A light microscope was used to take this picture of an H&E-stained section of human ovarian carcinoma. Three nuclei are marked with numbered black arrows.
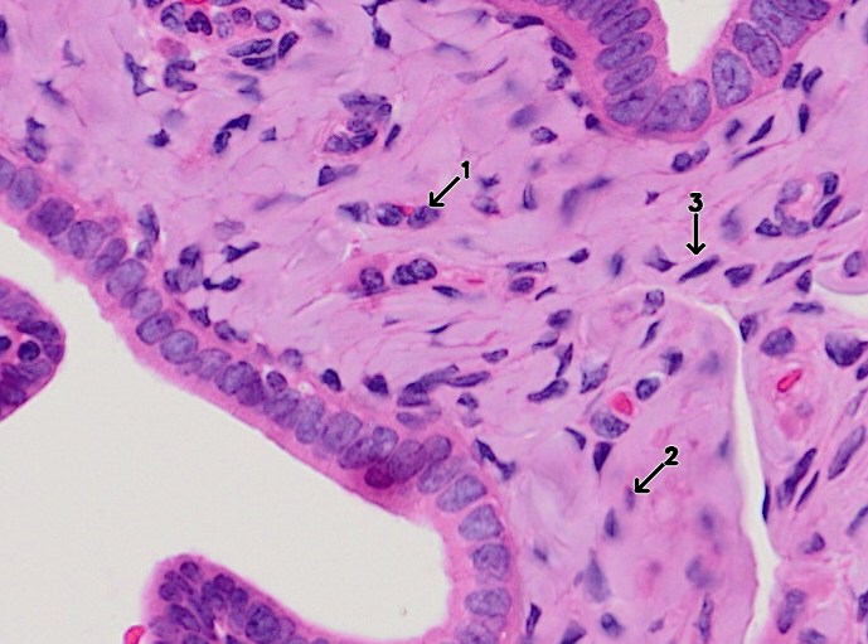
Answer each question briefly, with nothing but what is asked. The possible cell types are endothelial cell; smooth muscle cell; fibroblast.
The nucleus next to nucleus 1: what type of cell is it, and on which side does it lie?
an endothelial cell to the left of nucleus 1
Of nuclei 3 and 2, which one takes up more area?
3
